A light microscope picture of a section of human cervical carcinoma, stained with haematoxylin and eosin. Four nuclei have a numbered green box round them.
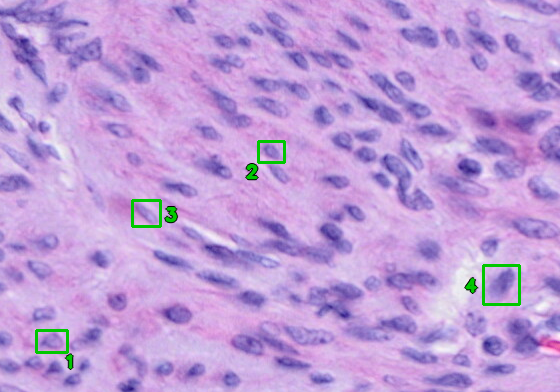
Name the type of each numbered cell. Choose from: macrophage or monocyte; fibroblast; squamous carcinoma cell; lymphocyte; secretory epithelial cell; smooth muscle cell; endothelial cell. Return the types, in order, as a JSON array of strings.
["smooth muscle cell", "smooth muscle cell", "smooth muscle cell", "fibroblast"]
